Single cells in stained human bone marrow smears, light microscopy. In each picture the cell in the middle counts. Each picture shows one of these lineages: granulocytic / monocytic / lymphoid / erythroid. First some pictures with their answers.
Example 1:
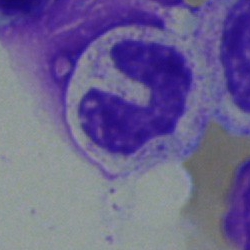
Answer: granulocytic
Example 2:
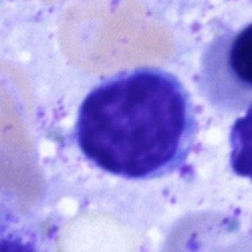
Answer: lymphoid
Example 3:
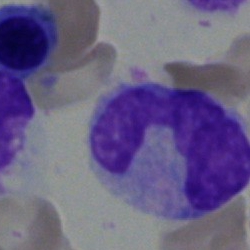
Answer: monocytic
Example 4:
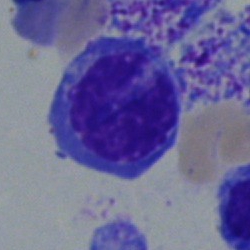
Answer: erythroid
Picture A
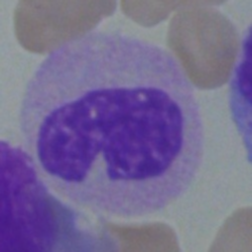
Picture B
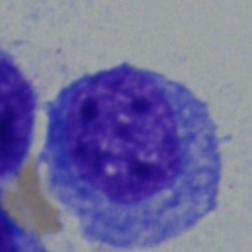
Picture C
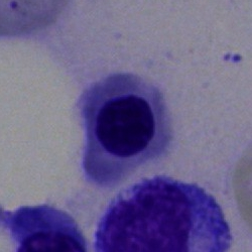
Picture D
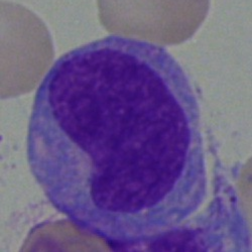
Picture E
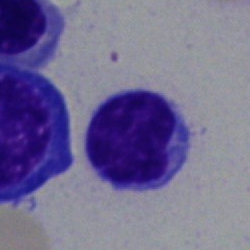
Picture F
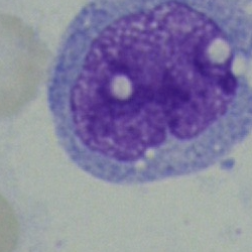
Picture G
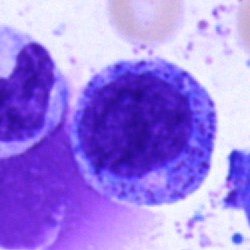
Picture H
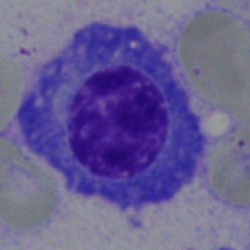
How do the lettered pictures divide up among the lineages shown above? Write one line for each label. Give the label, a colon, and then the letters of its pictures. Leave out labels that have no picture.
granulocytic: A, B, G
monocytic: D, F
lymphoid: E, H
erythroid: C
